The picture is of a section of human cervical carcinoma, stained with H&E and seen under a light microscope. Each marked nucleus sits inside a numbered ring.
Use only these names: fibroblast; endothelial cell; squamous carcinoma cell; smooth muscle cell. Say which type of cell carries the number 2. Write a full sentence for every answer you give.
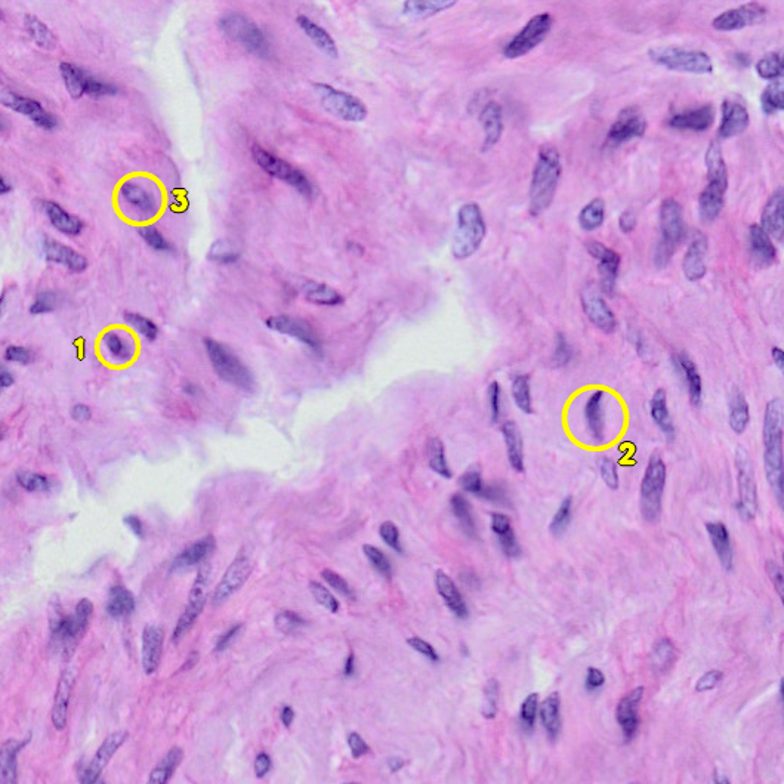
The cell identified by the number 2 is a fibroblast.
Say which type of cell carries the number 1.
Cell 1 should be recorded as a smooth muscle cell.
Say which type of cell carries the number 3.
The correct answer for cell 3 is a smooth muscle cell.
